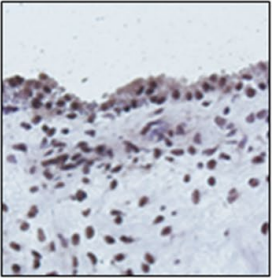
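This is synovial tissue whose surface is covered by a lining layer of densely packed cells a few rows thick. The lining cells stain strongly brown, the colour sitting largely over their oval nuclei. Many cells scattered through the loose, pale sublining tissue below also have brown-stained oval or elongated nuclei.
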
